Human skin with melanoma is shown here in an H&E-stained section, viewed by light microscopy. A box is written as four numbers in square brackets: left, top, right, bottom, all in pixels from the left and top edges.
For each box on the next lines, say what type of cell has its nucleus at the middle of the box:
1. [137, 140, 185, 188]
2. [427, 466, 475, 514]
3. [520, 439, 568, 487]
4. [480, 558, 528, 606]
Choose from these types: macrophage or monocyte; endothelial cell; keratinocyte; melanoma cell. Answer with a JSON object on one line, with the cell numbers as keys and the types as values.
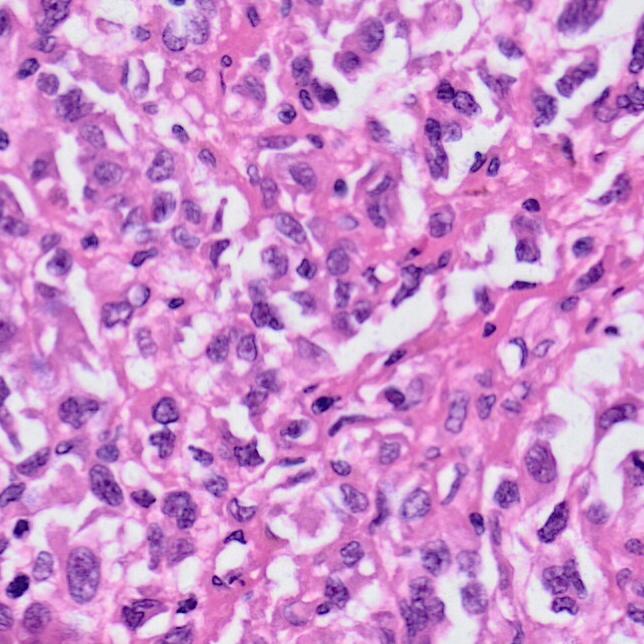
{"1": "melanoma cell", "2": "endothelial cell", "3": "melanoma cell", "4": "melanoma cell"}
